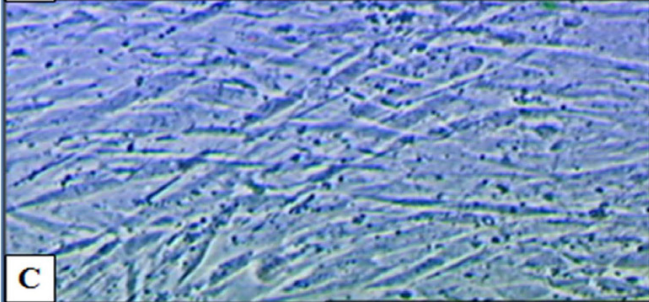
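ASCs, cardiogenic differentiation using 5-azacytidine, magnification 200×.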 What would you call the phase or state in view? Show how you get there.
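Stick-like morphology. Densely packed, narrow, elongated cells. The cells are aligned roughly parallel across the field.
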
